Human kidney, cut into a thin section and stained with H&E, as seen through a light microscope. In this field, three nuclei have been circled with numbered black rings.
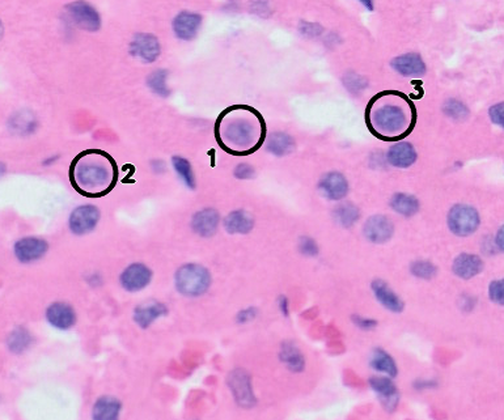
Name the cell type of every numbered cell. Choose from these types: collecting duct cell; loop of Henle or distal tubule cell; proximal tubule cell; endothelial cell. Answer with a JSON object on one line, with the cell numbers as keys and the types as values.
{"1": "loop of Henle or distal tubule cell", "2": "collecting duct cell", "3": "loop of Henle or distal tubule cell"}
